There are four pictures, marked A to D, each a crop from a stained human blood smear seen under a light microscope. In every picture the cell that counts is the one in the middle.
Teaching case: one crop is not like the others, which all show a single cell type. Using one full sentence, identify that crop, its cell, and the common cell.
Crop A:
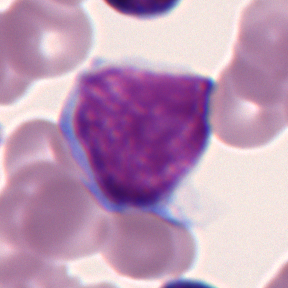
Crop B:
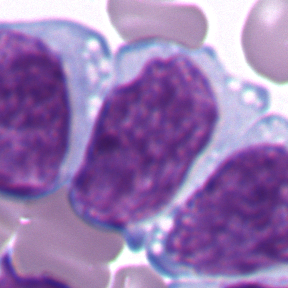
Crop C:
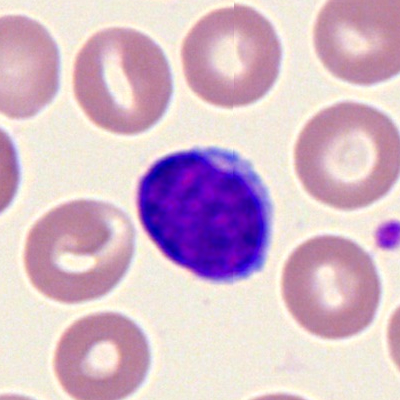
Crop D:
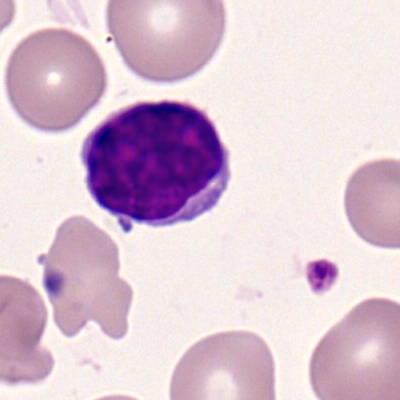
All of the other crops show lymphocytes; crop B, by contrast, is a blast.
